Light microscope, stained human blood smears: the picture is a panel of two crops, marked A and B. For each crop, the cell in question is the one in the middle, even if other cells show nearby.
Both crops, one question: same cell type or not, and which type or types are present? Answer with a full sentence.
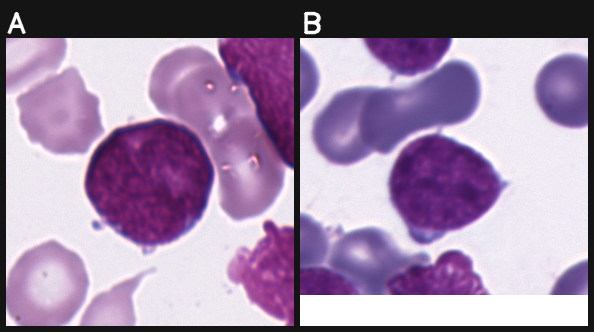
Yes, both crops have blasts as their central cells.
